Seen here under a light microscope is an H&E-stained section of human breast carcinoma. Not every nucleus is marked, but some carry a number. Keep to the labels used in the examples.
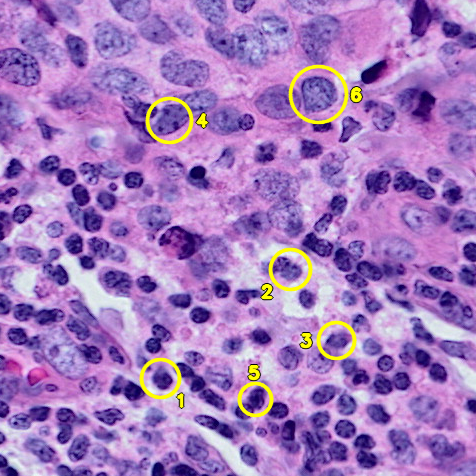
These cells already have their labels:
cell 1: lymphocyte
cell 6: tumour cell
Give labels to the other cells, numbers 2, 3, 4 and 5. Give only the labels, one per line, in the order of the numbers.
lymphocyte
lymphocyte
tumour cell
lymphocyte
